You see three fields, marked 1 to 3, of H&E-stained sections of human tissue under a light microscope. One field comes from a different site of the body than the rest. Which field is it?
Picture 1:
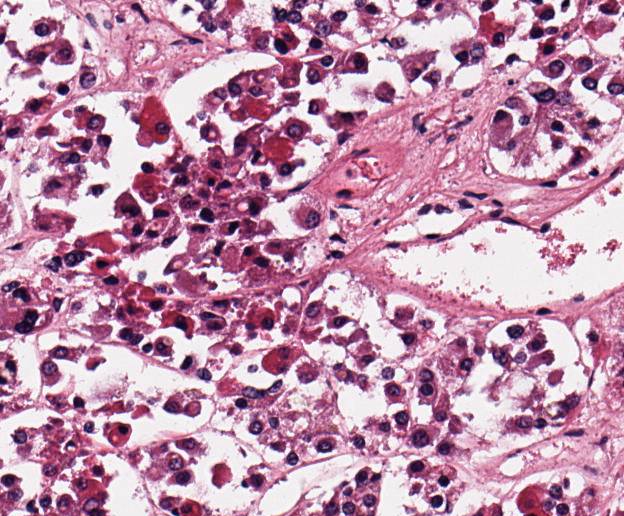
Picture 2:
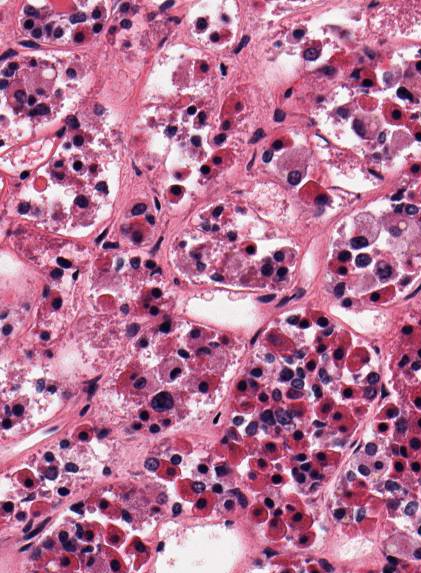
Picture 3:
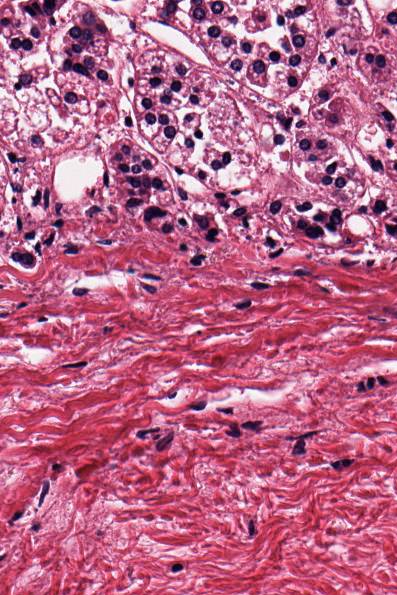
3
